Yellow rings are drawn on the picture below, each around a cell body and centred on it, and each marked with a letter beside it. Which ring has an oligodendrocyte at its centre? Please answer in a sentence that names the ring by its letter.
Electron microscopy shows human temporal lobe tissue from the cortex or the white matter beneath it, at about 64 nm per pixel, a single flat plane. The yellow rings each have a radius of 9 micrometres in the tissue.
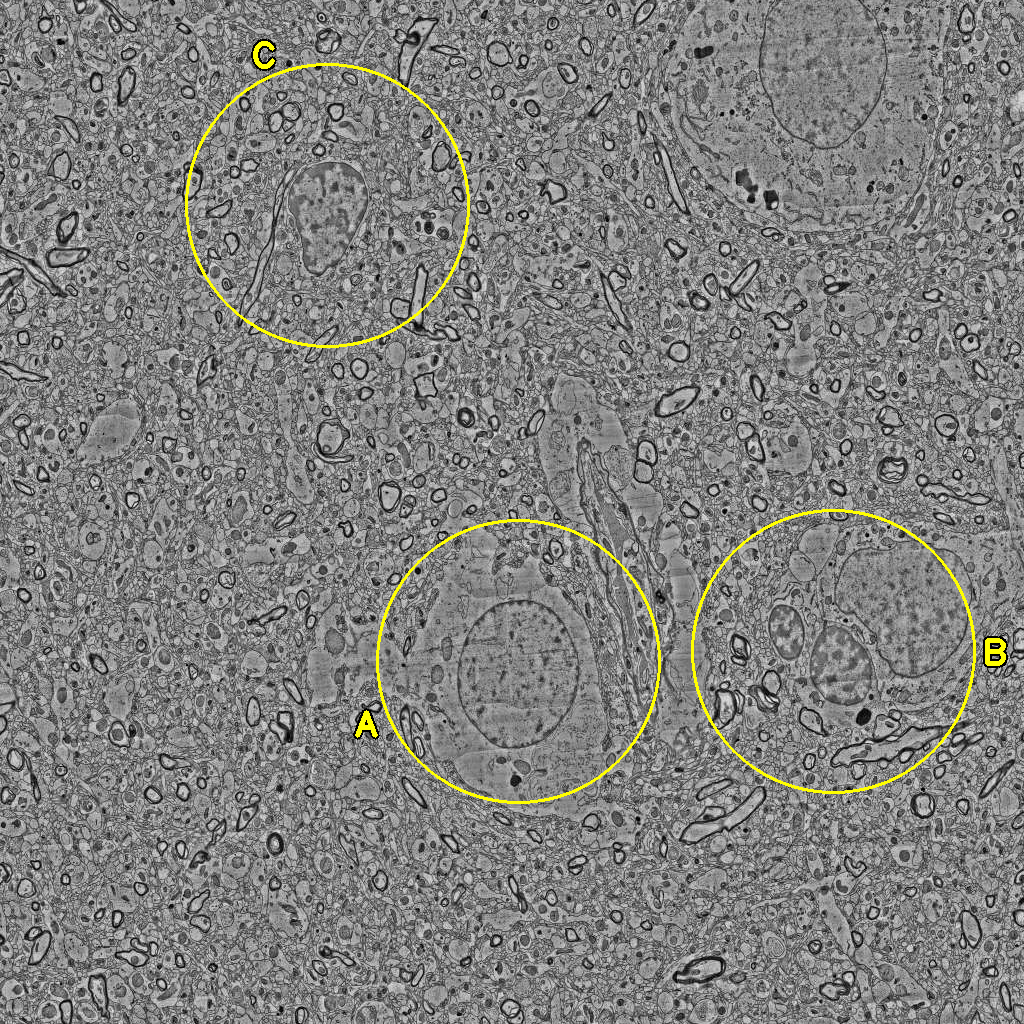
That is ring B.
